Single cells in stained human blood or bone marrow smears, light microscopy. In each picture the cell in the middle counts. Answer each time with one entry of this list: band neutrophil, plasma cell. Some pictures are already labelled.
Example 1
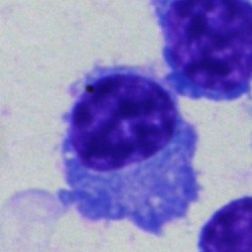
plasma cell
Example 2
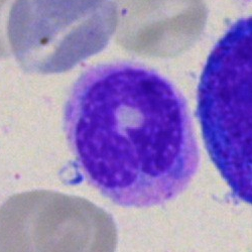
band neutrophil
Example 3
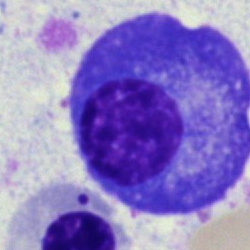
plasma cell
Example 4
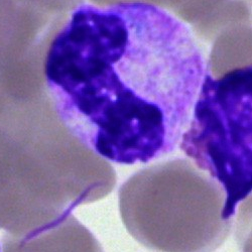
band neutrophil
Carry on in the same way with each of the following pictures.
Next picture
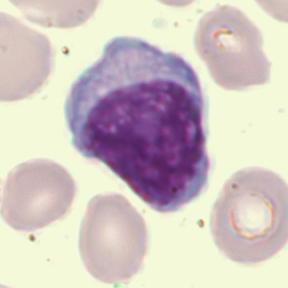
plasma cell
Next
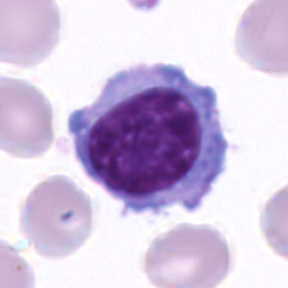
plasma cell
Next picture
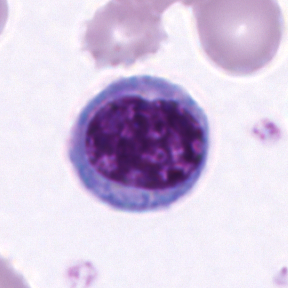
plasma cell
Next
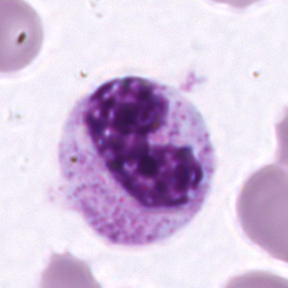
band neutrophil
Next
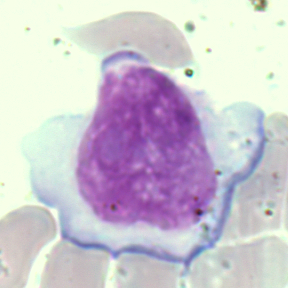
plasma cell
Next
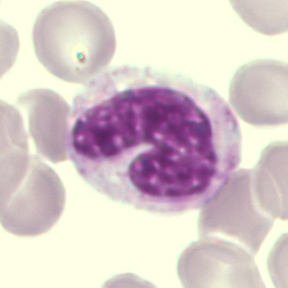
band neutrophil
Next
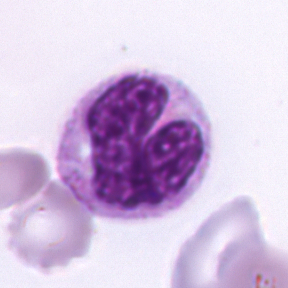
band neutrophil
